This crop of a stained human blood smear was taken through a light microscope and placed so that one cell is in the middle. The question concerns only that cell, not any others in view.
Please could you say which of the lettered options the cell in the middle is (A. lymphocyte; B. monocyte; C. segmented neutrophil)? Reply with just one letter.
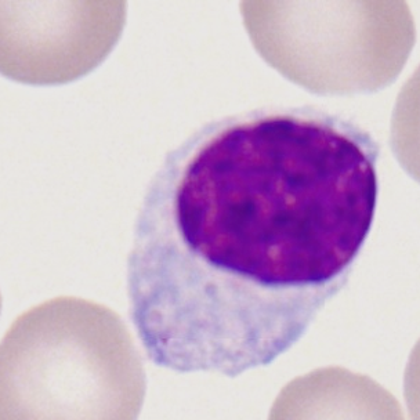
A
